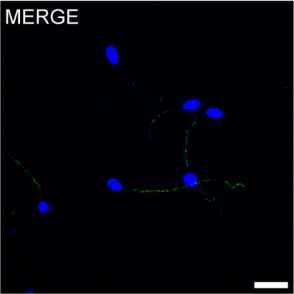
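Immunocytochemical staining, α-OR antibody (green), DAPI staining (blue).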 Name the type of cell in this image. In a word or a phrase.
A: spermatozoa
